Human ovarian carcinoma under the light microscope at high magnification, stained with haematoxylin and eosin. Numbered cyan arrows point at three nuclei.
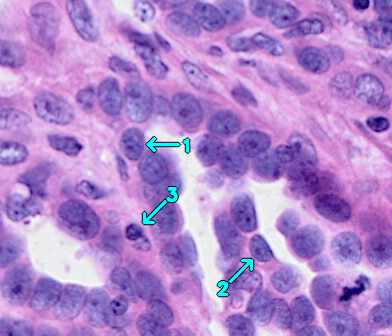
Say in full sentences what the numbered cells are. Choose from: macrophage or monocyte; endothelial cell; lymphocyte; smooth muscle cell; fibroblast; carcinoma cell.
Cell 1 is a carcinoma cell, cell 2 is a carcinoma cell and cell 3 is a lymphocyte.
